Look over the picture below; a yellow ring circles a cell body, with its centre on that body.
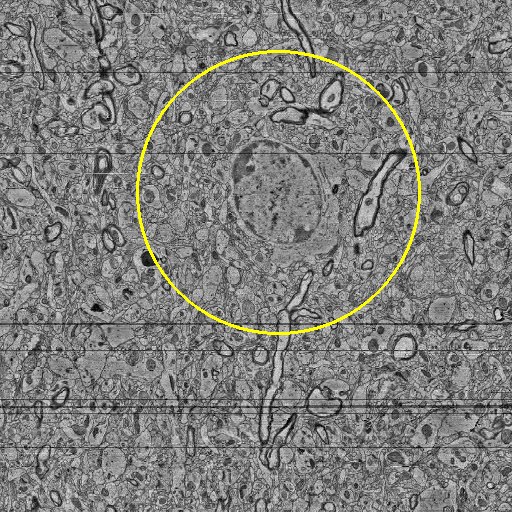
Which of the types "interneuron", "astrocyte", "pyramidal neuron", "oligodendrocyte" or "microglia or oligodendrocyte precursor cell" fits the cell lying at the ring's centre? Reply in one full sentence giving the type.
The picture shows a microglial cell or oligodendrocyte precursor cell at the centre of the yellow ring.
